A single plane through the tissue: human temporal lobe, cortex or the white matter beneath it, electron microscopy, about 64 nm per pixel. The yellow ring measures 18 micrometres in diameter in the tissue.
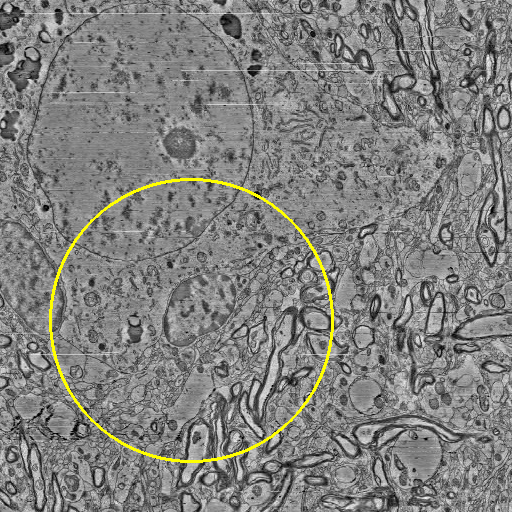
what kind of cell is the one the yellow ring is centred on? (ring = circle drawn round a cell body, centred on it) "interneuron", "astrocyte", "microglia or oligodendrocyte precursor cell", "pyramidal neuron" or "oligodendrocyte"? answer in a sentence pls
The ring is drawn around a microglial cell or oligodendrocyte precursor cell.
